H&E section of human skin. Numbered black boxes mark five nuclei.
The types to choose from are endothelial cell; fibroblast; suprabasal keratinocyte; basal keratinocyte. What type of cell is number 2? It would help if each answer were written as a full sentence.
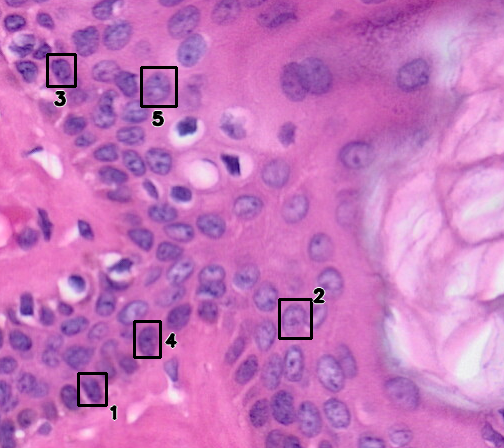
In this section, the cell tagged 2 is a suprabasal keratinocyte.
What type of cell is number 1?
The correct label for cell 1 is a basal keratinocyte.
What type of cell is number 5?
Classified as a suprabasal keratinocyte is the cell with the number 5.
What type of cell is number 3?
The marked cell bearing number 3 is a basal keratinocyte.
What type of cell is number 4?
Cell 4 of the marked set is a basal keratinocyte.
